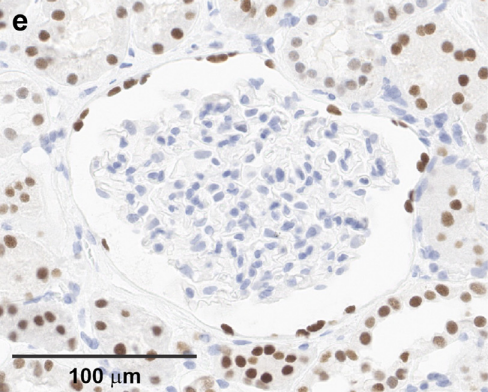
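A glomerulus lies in a wide clear urinary space bounded by a thin capsule. Flattened nuclei lining the inner surface of the capsule are stained brown; these are parietal epithelial cells. The central capillary tuft contains many crowded nuclei, all blue and unstained. The surrounding tubules show numerous round brown-stained nuclei in their epithelium, while interstitial nuclei between tubules remain blue.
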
